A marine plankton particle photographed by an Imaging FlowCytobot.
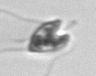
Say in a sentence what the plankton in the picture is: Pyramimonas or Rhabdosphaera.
This is Pyramimonas.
